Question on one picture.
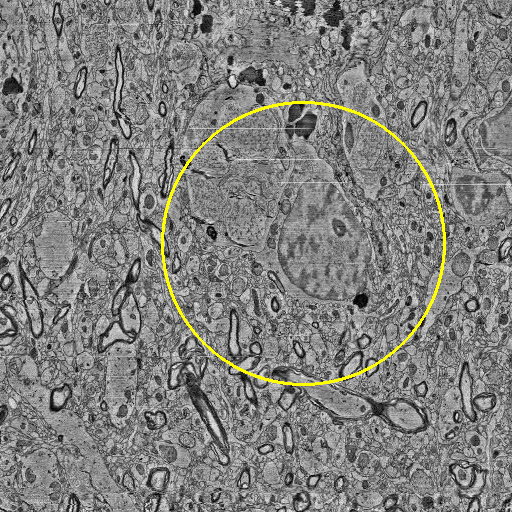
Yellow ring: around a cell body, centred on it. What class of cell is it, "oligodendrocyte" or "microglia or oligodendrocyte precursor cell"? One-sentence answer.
This is an oligodendrocyte, the cell the ring is centred on.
